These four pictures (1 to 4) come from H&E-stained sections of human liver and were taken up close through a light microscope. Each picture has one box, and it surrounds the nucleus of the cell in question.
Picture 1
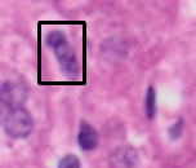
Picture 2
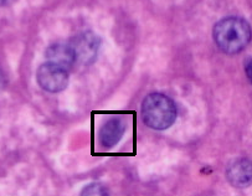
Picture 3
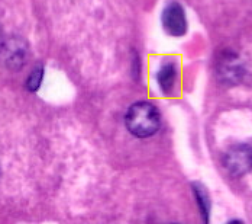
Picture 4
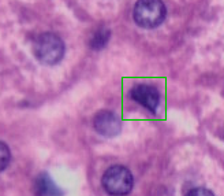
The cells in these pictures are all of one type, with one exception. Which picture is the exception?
4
